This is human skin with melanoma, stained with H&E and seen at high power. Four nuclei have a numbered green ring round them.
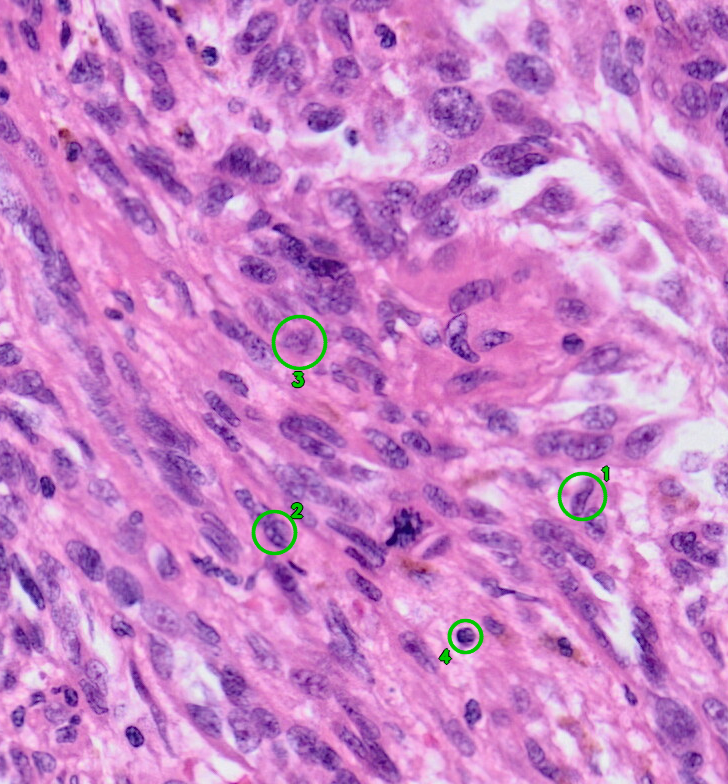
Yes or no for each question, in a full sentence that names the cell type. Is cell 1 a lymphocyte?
No, the cell given number 1 is a melanoma cell, not a lymphocyte.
